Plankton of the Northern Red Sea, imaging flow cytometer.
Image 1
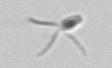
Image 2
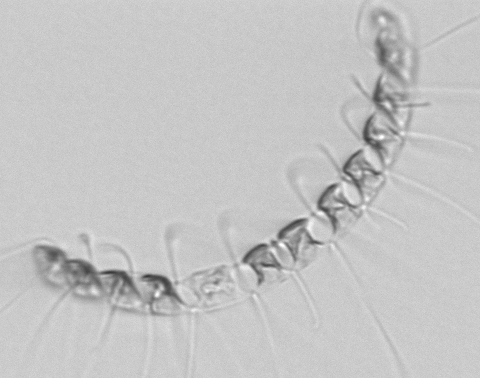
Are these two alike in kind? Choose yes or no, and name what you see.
No. First Ophiaster, second Chaetoceros.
